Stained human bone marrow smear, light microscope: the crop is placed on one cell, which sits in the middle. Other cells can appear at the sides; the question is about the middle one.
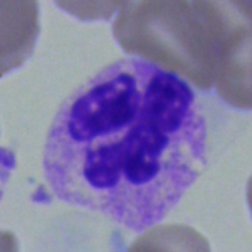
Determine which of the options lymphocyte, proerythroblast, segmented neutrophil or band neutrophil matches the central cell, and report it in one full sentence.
Among the cells in view, the one in the middle is a segmented neutrophil.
